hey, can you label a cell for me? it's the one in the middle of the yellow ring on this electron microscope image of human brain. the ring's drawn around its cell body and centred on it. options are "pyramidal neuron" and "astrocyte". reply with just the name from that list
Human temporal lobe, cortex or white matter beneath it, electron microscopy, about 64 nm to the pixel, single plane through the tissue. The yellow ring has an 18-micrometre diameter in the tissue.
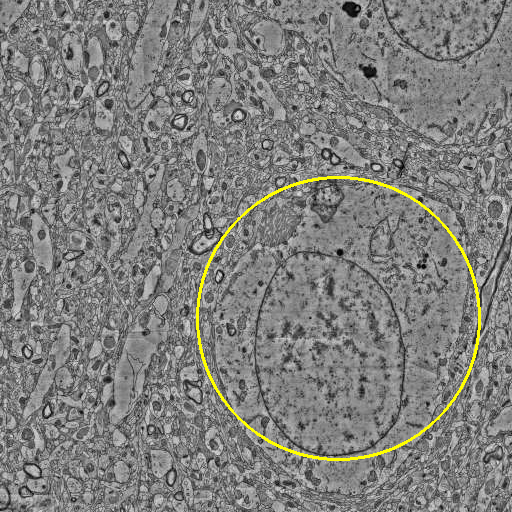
pyramidal neuron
